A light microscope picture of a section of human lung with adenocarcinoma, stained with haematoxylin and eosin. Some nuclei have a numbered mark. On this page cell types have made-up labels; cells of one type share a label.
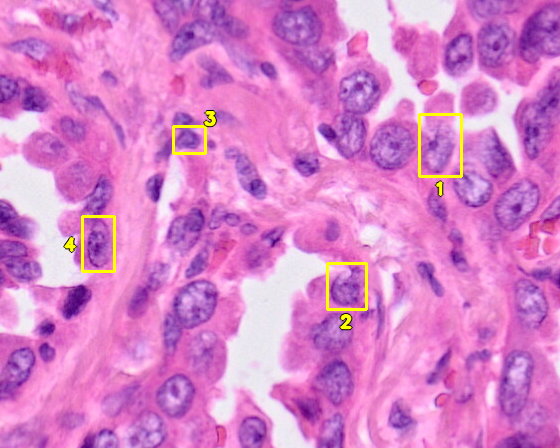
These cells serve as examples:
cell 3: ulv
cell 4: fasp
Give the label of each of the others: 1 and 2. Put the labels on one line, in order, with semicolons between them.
fasp; fasp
